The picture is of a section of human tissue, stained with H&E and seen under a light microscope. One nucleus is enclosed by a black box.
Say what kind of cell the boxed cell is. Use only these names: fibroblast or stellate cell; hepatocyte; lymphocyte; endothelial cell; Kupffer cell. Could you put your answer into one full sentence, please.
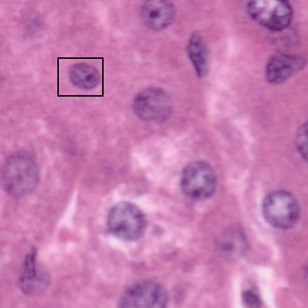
At the level of cell identity, the boxed cell is a hepatocyte.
